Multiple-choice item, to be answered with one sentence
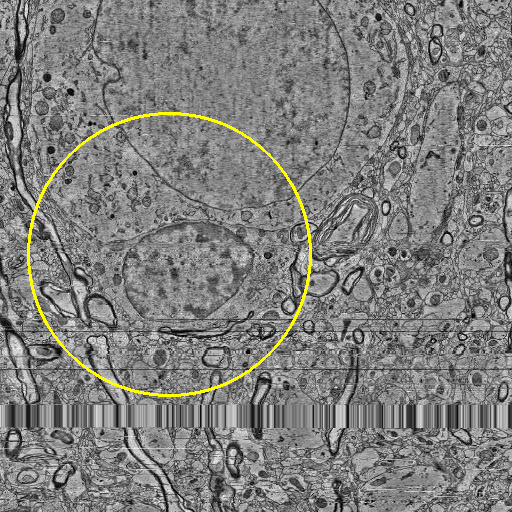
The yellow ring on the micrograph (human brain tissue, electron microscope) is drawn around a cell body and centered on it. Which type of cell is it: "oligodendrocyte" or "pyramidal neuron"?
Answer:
The ring is centered on an oligodendrocyte.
